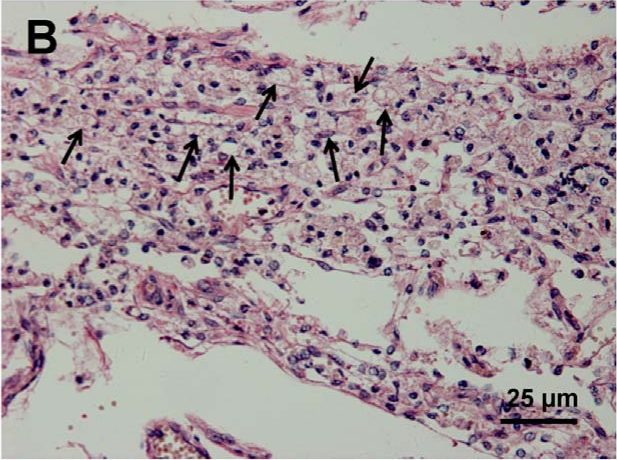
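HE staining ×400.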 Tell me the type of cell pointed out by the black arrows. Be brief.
macrophages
